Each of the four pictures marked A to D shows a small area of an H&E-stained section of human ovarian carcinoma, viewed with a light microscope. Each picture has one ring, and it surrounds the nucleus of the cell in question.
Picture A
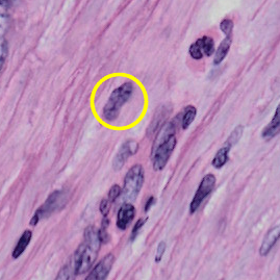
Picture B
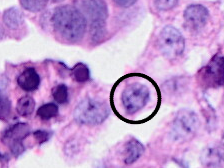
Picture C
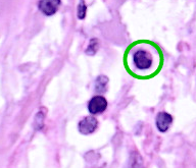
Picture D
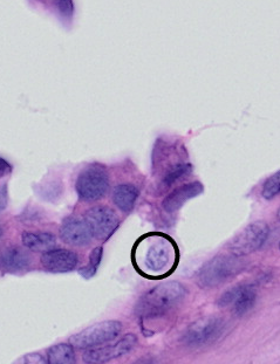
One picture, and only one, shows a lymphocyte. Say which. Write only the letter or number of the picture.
C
